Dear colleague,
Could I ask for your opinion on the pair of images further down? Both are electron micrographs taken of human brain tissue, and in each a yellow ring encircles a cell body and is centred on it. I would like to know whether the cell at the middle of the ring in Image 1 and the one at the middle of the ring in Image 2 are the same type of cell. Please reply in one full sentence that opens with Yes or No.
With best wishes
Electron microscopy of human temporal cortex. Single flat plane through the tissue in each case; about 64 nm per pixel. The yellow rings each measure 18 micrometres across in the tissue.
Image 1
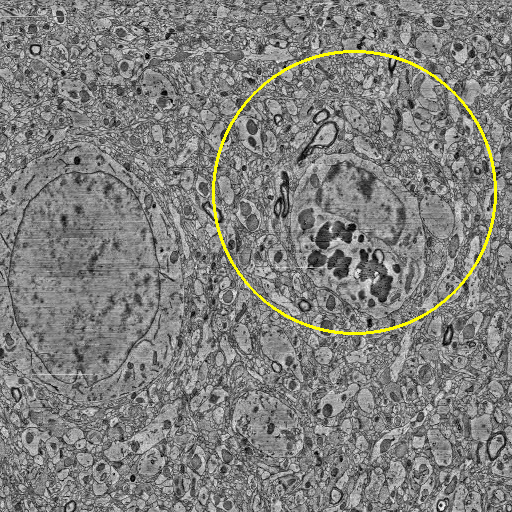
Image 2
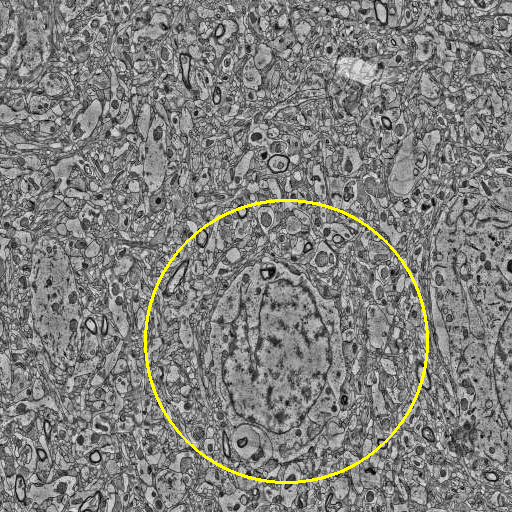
Yes, the cells at the ring centres in Image 1 and Image 2 are of one type.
